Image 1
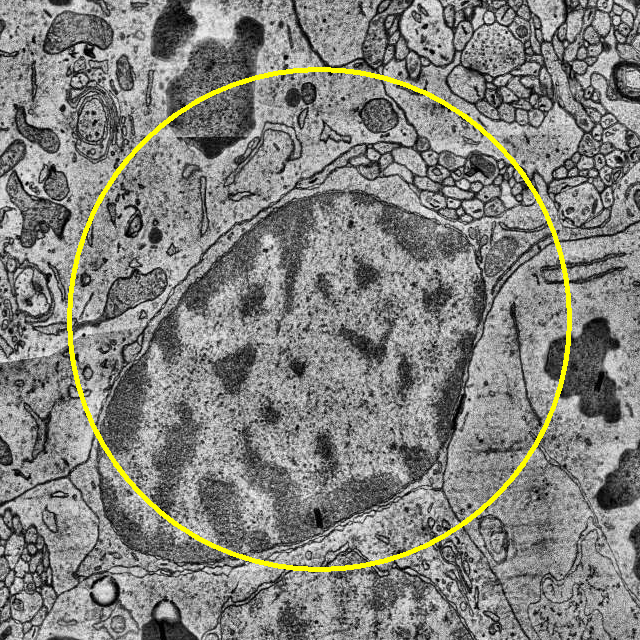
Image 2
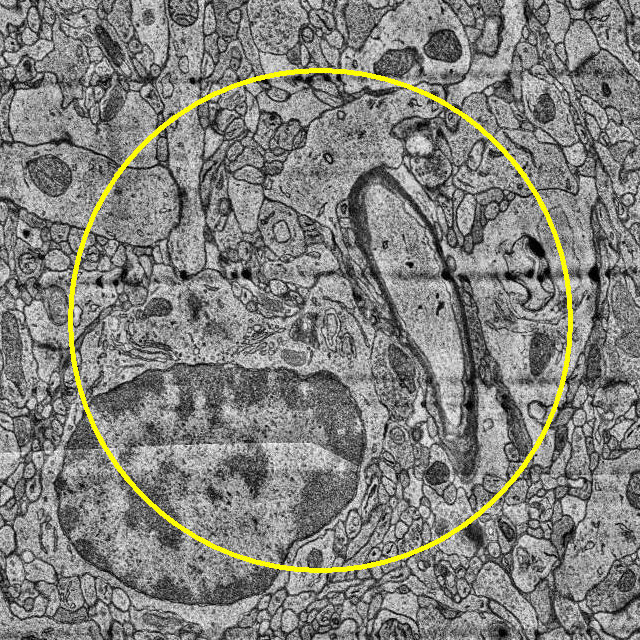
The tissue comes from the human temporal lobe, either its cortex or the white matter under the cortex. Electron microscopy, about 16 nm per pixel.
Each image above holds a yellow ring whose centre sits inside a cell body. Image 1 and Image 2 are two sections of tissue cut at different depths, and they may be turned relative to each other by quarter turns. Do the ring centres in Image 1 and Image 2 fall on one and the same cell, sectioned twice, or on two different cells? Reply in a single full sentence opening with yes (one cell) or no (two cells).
No, the two yellow rings correspond to two separate cells.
